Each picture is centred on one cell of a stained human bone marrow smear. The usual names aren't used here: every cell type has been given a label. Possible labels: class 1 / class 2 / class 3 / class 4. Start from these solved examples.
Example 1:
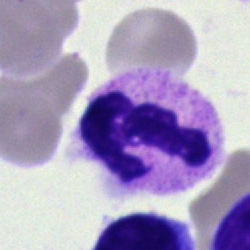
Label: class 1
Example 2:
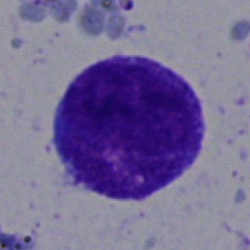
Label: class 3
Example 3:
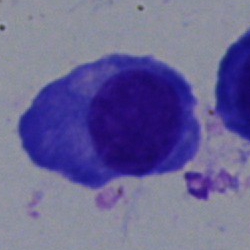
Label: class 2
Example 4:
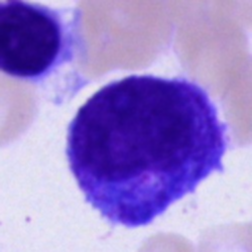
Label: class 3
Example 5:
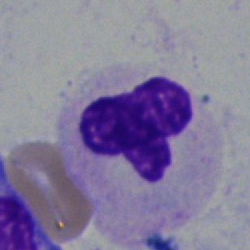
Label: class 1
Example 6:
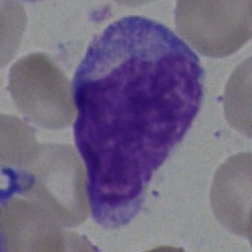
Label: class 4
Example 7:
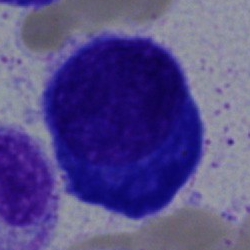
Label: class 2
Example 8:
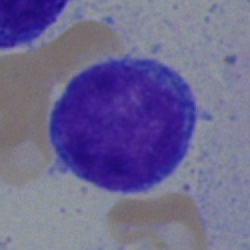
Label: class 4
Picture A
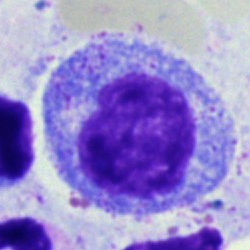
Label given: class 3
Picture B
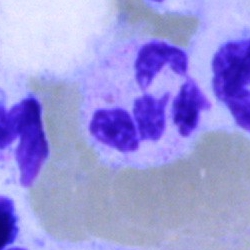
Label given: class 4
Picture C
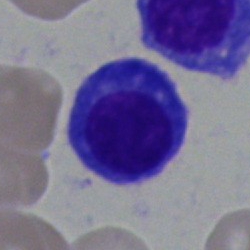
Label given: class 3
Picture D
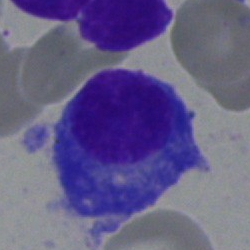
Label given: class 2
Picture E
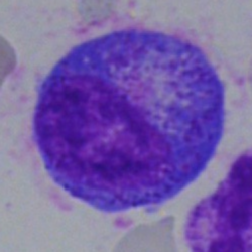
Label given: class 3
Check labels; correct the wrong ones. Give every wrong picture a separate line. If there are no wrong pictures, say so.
B: change class 4 to class 1
C: change class 3 to class 2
